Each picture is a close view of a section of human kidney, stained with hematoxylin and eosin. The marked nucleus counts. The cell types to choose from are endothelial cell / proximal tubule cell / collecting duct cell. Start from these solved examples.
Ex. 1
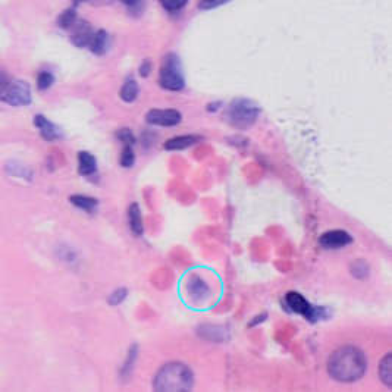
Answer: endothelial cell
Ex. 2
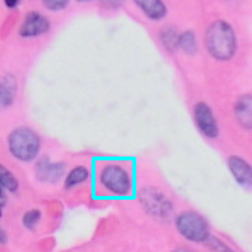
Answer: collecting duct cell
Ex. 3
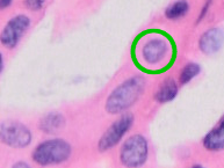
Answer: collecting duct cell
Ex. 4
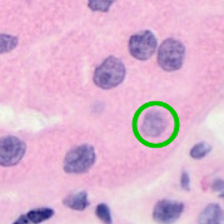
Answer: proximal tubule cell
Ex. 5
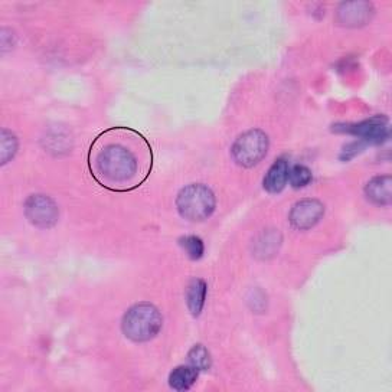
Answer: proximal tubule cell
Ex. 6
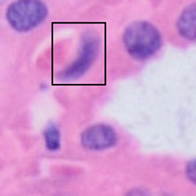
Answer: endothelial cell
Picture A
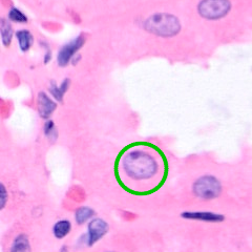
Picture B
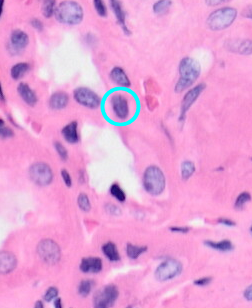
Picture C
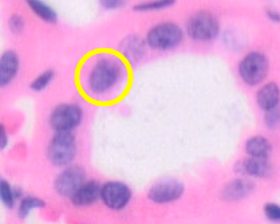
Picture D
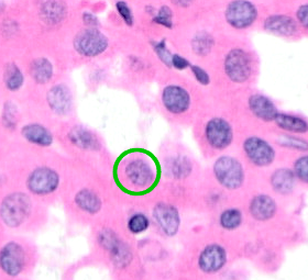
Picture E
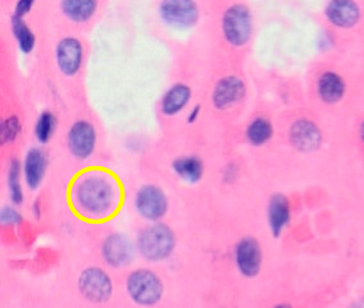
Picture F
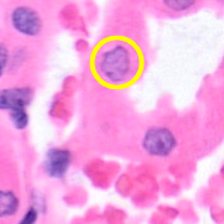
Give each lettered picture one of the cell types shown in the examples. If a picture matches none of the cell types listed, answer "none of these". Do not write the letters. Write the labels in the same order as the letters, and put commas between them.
proximal tubule cell, collecting duct cell, collecting duct cell, none of these, none of these, proximal tubule cell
